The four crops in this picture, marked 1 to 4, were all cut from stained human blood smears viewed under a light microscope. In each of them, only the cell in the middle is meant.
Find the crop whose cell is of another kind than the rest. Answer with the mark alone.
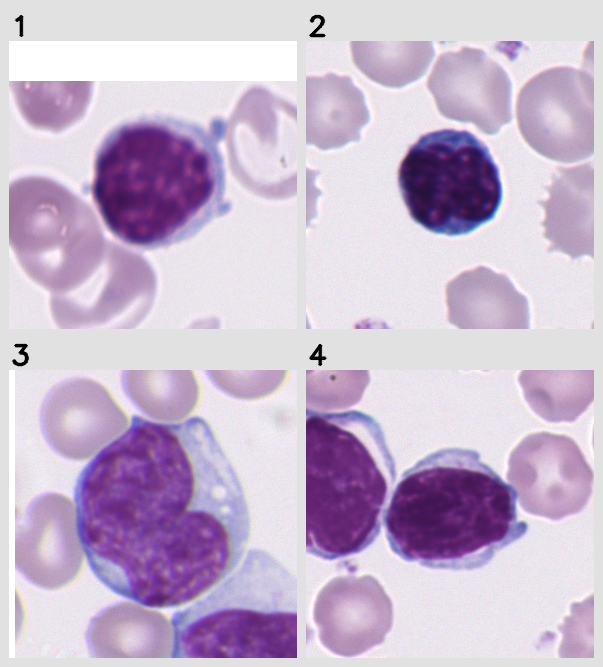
3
